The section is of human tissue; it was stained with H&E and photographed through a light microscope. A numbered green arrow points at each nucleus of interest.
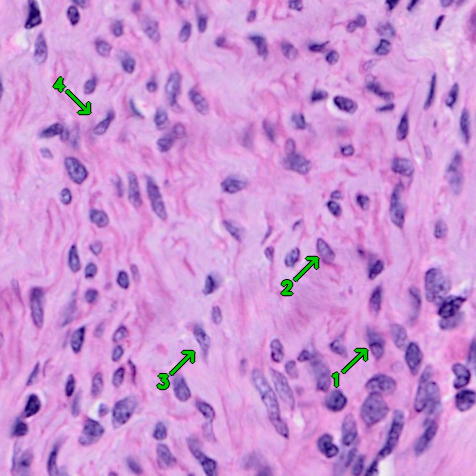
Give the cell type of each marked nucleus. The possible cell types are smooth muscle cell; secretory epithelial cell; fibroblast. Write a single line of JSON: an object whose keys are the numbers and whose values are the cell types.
{"1": "smooth muscle cell", "2": "smooth muscle cell", "3": "fibroblast", "4": "smooth muscle cell"}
